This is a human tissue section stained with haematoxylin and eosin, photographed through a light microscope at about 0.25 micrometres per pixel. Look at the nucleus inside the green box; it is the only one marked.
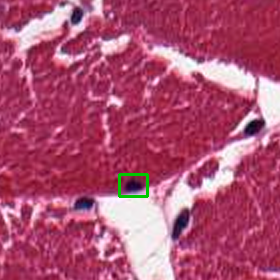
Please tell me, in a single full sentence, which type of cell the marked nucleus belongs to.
Located in a skeletal muscle fibre is the marked nucleus.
